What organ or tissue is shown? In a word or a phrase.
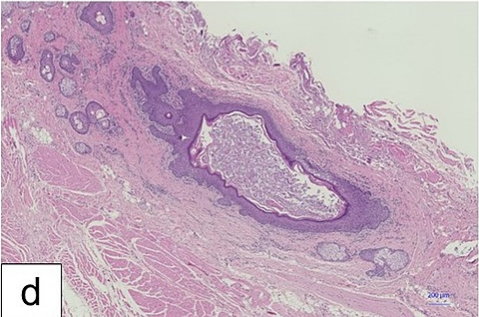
stratified squamous epithelium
